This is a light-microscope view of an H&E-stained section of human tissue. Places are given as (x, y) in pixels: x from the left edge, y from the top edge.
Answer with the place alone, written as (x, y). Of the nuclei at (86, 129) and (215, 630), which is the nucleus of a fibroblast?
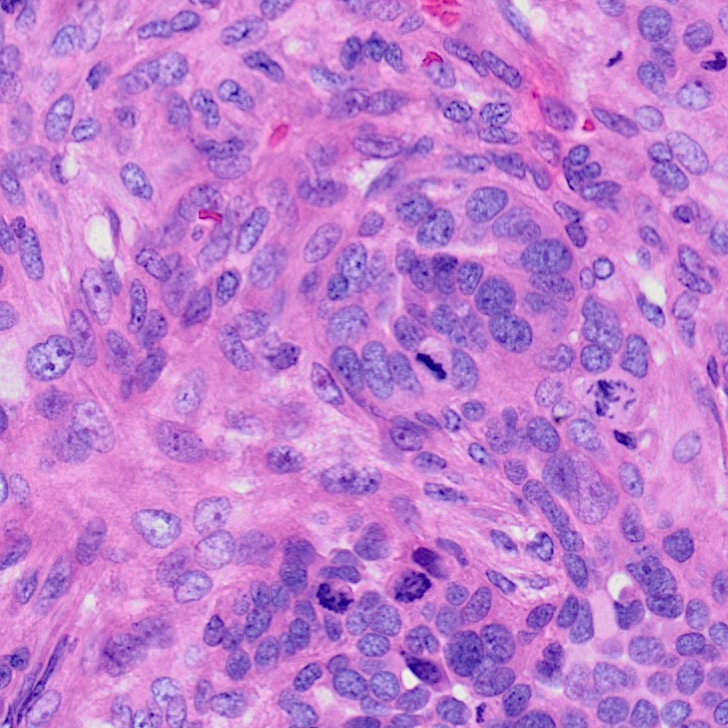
(86, 129)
